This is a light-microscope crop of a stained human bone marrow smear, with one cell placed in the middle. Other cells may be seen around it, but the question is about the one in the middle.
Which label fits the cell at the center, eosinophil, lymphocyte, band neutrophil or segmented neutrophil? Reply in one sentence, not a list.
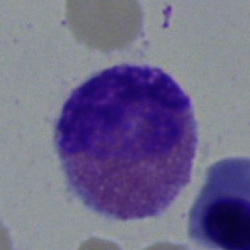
This crop has an eosinophil at its centre.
